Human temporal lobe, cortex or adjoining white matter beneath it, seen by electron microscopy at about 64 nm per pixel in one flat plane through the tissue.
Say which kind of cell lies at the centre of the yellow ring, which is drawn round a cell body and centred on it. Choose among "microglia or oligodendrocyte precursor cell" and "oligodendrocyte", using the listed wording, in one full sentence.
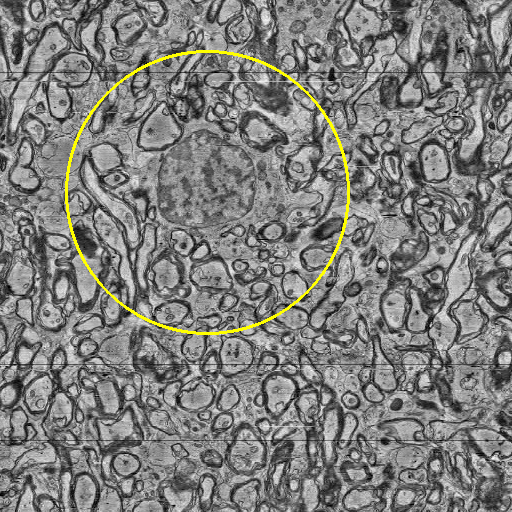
Going by the list, the cell at the yellow ring's centre is an oligodendrocyte.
